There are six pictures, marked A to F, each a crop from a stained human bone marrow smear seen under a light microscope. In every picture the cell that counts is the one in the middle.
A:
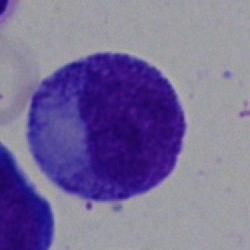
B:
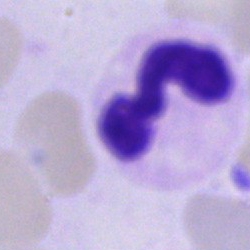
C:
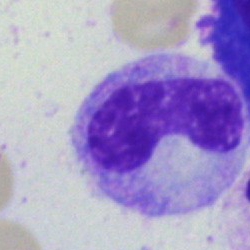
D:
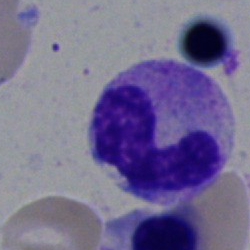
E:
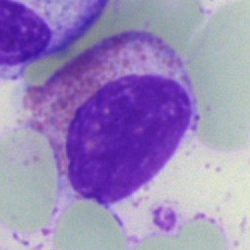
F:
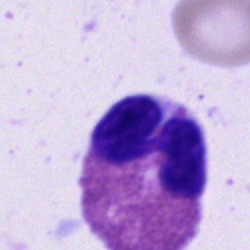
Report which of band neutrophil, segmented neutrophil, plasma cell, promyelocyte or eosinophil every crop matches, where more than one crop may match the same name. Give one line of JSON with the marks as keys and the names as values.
{"A": "promyelocyte", "B": "segmented neutrophil", "C": "band neutrophil", "D": "band neutrophil", "E": "eosinophil", "F": "eosinophil"}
